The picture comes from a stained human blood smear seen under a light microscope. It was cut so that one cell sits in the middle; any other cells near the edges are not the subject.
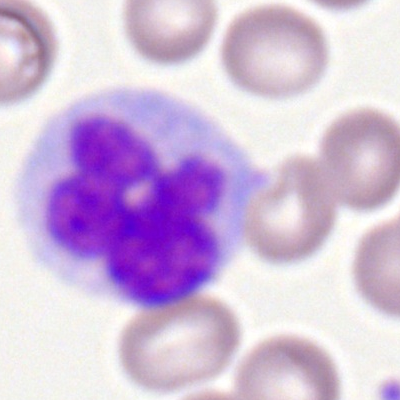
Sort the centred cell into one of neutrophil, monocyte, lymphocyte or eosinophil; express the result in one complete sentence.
By type, the central cell of the crop is a monocyte.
